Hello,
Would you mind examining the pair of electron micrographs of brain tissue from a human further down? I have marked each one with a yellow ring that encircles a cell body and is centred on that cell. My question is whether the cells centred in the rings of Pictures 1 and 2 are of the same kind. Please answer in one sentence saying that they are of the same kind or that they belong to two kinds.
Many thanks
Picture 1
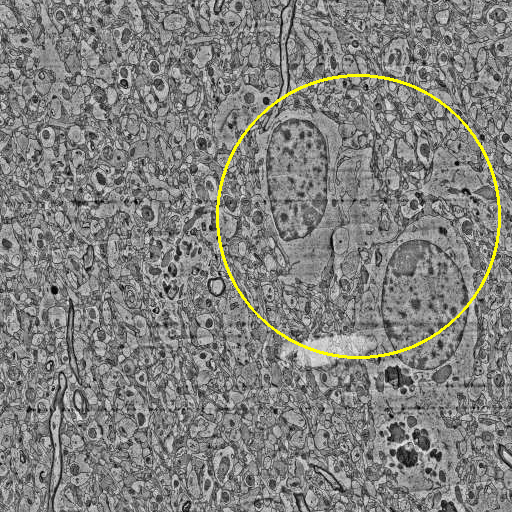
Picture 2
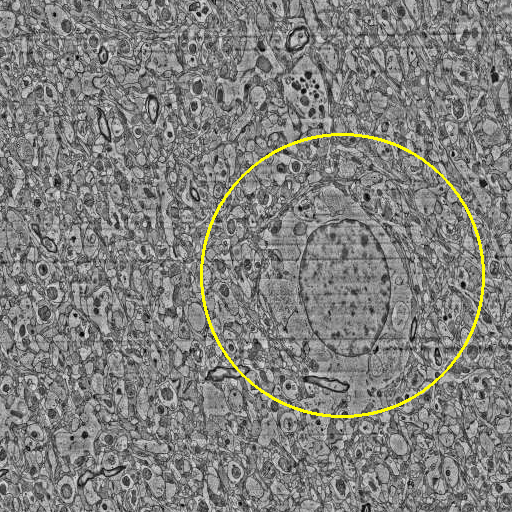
In Pictures 1 and 2, the cells at the heart of the rings are of the same kind.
